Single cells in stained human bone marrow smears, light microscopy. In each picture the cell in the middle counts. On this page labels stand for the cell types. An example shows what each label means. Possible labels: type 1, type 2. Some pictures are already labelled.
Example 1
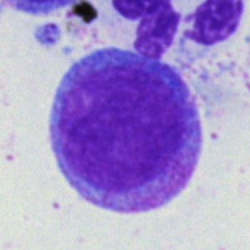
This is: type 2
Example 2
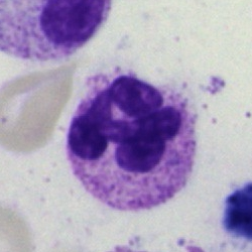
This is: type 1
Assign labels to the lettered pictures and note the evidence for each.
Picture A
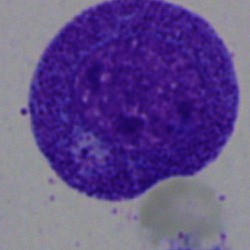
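Label: type 2. The chromatin looks finely stippled rather than coarsely clumped.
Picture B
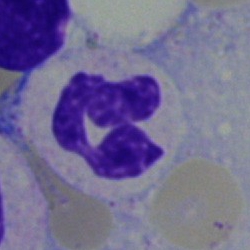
Label: type 1. The nucleus is a curved band bent into a C shape.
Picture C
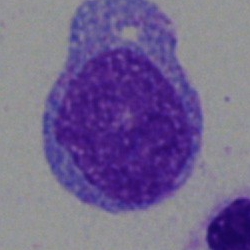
Label: type 2. The chromatin is finely stippled rather than coarsely clumped.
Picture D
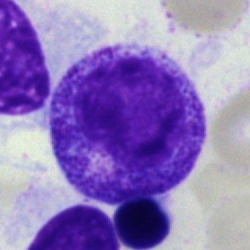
Label: type 2. The chromatin looks fine rather than coarsely clumped.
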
